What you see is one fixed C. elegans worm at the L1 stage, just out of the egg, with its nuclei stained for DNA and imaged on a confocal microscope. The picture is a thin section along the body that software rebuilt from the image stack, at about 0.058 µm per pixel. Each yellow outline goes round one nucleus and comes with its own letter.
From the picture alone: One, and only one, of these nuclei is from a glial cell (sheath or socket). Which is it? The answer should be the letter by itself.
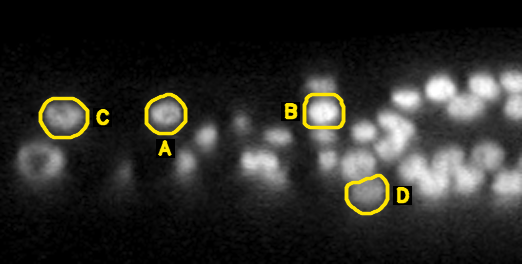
D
